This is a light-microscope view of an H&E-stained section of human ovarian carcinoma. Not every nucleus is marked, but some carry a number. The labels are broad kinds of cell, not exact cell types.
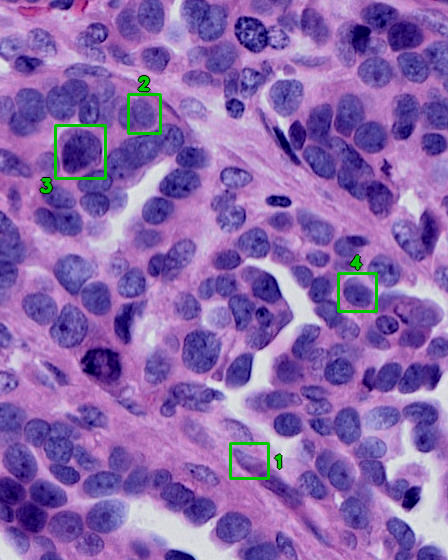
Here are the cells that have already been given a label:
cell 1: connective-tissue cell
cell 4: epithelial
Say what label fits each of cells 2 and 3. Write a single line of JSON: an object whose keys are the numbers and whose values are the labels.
{"2": "epithelial", "3": "epithelial"}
